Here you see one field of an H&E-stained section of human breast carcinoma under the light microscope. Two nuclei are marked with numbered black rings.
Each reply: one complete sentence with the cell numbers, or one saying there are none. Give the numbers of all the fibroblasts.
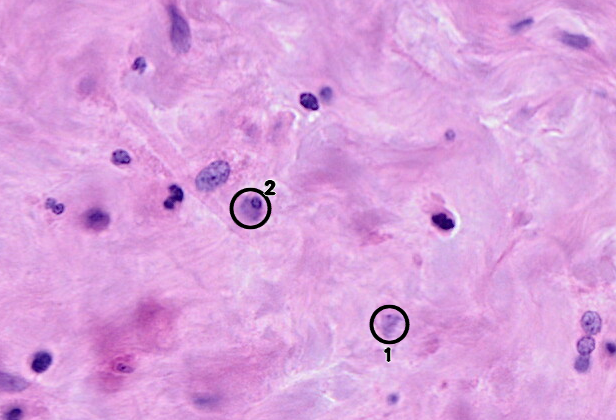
The one cell that is a fibroblast is cell 1, and no other.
